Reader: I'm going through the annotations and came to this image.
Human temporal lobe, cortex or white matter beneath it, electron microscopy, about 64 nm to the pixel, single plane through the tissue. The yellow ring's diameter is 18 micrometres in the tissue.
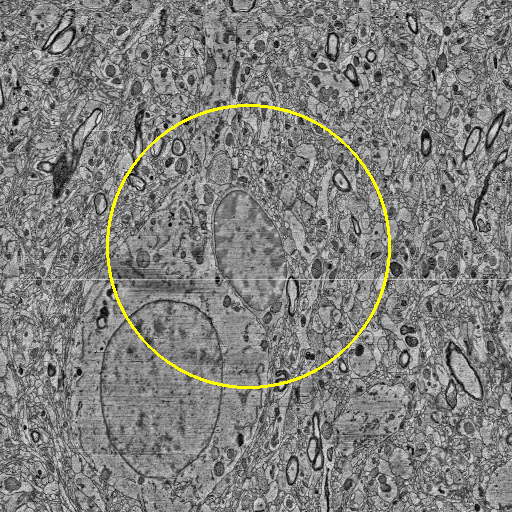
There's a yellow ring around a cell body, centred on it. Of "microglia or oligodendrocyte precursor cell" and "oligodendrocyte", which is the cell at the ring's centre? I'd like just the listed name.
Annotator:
oligodendrocyte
